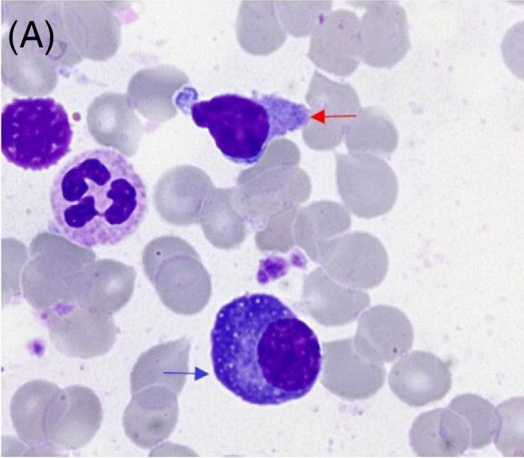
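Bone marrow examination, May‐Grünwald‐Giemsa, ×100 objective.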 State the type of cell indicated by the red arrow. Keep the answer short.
Lymphocytes.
